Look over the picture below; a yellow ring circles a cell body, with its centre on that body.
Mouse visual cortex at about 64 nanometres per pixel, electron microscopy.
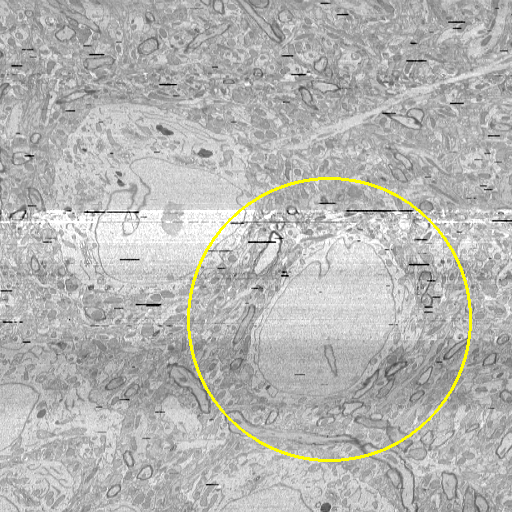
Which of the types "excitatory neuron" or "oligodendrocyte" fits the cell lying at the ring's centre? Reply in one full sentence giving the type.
The picture shows an excitatory neuron at the centre of the yellow ring.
